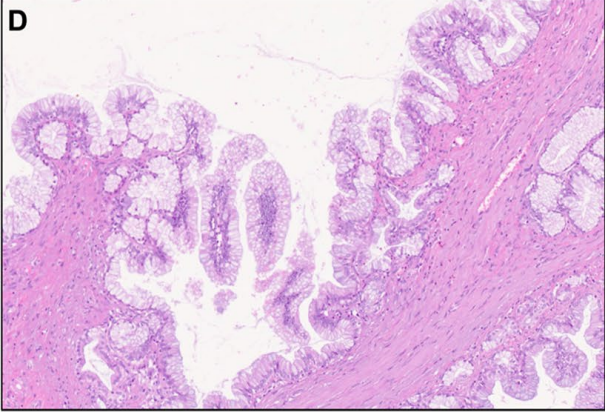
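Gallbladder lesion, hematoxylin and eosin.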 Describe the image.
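Papillary folds are lined by a single layer of tall columnar mucinous epithelium of gastric type, whose cells have pale, clear apical cytoplasm and small dark nuclei at the base. The epithelium rests on pink, fibromuscular stroma with spindle-shaped nuclei, and the lumen between the folds holds faint pale mucin.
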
